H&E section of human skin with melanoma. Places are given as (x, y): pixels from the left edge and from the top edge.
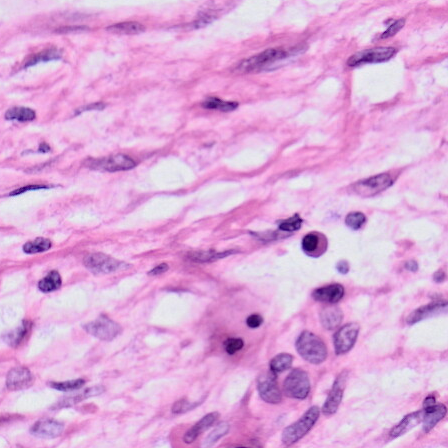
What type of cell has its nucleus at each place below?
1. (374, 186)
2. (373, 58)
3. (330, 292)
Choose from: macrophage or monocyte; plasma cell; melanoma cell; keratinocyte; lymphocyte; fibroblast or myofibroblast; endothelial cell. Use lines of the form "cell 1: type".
cell 1: fibroblast or myofibroblast
cell 2: fibroblast or myofibroblast
cell 3: macrophage or monocyte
